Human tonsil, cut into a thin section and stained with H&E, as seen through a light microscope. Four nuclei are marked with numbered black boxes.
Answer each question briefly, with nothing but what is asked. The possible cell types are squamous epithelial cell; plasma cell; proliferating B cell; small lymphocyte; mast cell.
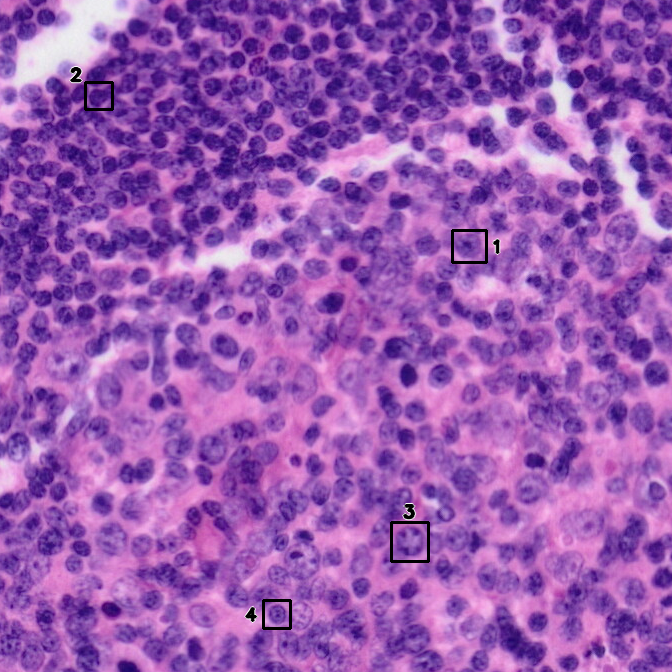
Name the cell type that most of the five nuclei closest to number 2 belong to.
small lymphocyte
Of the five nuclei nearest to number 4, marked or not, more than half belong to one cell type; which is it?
proliferating B cell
